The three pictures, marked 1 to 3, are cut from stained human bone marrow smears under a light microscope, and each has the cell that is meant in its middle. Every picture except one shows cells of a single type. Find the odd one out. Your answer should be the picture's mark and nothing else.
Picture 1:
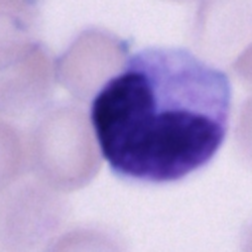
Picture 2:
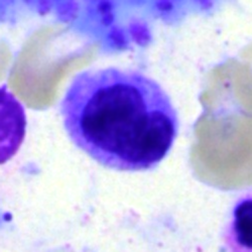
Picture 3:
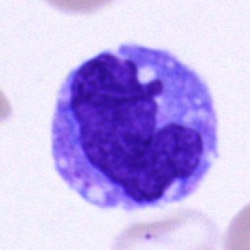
3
